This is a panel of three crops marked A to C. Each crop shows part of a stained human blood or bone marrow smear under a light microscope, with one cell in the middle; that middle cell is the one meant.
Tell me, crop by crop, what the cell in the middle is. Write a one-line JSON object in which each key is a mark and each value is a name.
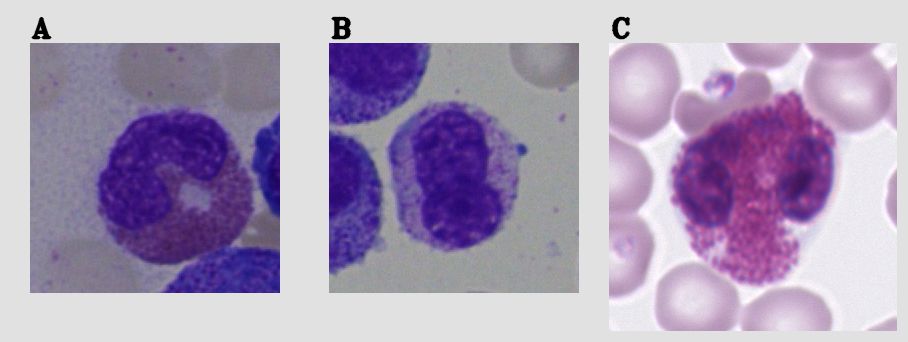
{"A": "eosinophil", "B": "band neutrophil", "C": "eosinophil"}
